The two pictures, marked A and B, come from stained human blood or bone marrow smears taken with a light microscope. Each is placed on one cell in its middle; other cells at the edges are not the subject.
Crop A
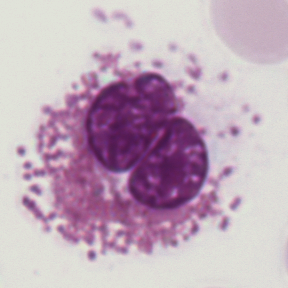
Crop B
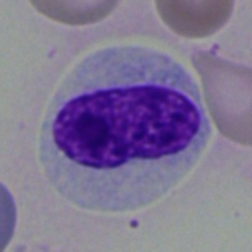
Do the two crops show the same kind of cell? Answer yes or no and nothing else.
no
